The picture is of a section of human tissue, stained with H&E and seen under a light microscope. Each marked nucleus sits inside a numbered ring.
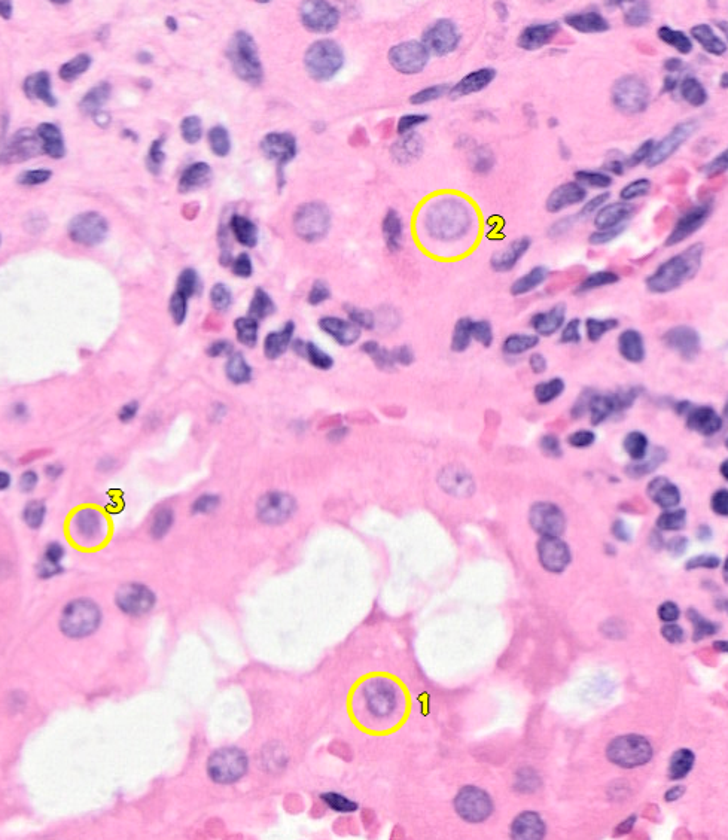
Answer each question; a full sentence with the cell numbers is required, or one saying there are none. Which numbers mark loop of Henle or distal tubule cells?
There is only one numbered cell that is a loop of Henle or distal tubule cell, and it is cell 3.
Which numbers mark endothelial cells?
Answering directly: no endothelial cells are among the numbered cells.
